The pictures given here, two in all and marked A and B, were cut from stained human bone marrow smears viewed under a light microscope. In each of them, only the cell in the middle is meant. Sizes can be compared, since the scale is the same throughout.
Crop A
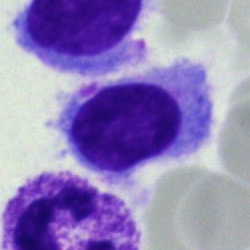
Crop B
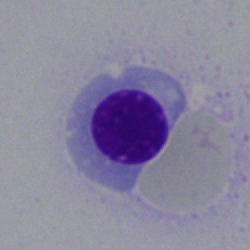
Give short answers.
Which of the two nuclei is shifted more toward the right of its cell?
B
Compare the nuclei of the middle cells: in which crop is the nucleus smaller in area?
B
